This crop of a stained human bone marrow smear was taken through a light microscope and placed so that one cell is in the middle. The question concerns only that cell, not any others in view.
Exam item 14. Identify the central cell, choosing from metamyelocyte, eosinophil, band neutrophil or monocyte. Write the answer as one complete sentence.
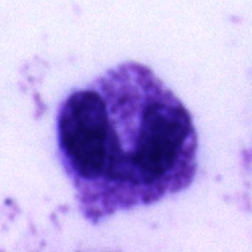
In the crop, the cell of interest at the centre is a band neutrophil.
